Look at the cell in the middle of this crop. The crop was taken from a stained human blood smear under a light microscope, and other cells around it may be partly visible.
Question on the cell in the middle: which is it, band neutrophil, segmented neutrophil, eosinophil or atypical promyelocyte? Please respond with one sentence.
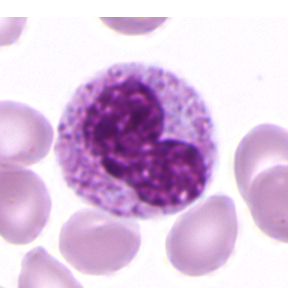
The cell in the middle of the field of view is a band neutrophil.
